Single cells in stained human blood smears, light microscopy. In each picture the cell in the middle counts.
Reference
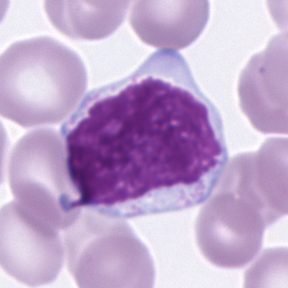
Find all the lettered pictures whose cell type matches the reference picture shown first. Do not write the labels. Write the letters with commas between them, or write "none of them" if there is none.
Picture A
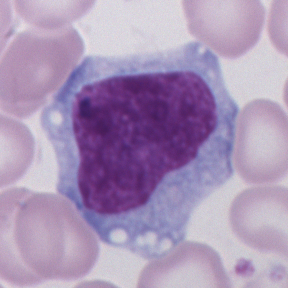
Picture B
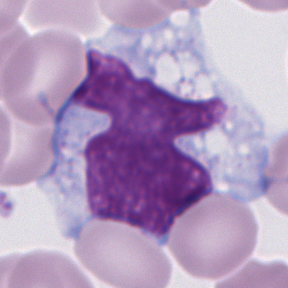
none of them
